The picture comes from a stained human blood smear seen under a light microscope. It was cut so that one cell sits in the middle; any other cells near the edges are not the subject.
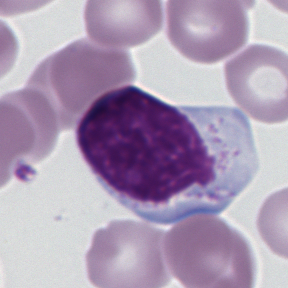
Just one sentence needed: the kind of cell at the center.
By classification, the middle cell of this crop is a large granular lymphocyte.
